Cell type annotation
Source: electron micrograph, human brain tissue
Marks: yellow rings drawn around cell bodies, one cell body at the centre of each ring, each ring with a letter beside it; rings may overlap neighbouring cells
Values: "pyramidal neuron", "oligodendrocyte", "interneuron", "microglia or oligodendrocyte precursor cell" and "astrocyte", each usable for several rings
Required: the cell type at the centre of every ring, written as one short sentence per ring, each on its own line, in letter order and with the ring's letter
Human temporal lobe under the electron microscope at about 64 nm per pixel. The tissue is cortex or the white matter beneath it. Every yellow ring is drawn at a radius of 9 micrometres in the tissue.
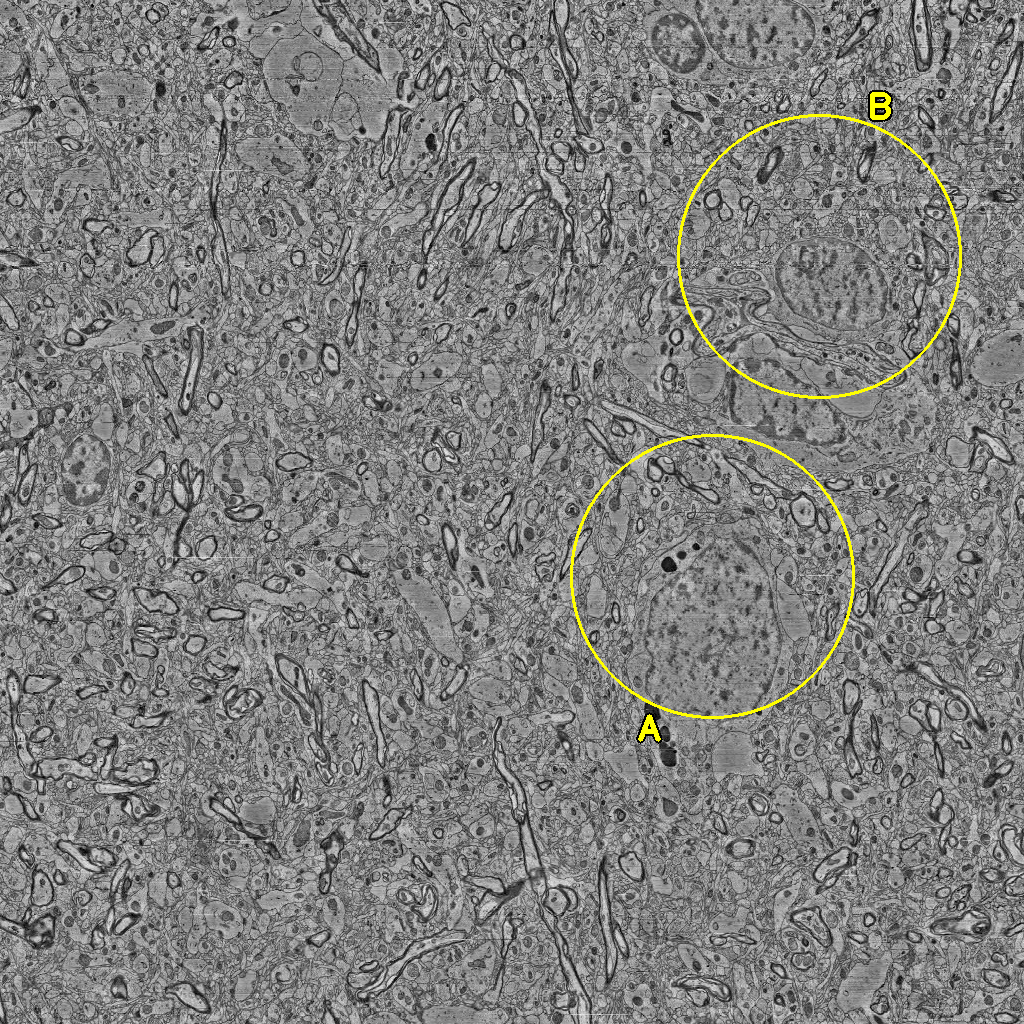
Ring A is annotated as an interneuron.
Ring B is annotated as an oligodendrocyte.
